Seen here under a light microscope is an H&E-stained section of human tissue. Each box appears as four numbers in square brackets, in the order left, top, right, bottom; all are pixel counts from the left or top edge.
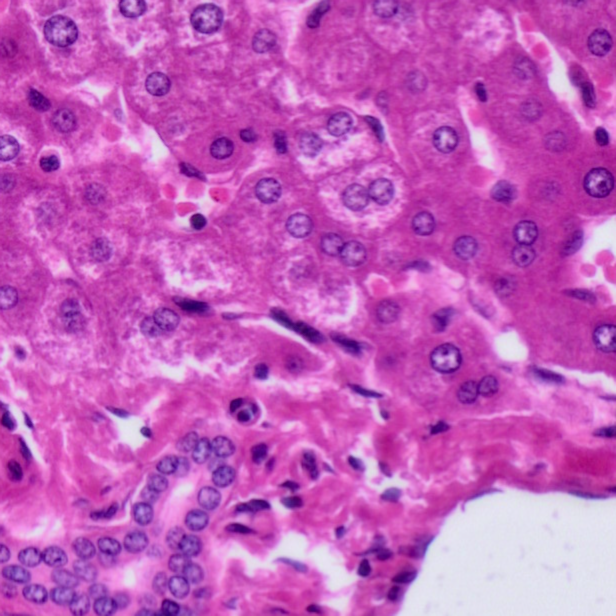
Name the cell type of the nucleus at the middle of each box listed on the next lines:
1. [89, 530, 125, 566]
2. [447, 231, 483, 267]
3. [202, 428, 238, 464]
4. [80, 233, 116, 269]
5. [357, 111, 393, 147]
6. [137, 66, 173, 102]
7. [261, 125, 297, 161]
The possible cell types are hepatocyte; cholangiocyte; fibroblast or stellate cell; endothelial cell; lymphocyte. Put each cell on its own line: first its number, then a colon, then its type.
1: cholangiocyte
2: hepatocyte
3: cholangiocyte
4: hepatocyte
5: endothelial cell
6: hepatocyte
7: fibroblast or stellate cell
